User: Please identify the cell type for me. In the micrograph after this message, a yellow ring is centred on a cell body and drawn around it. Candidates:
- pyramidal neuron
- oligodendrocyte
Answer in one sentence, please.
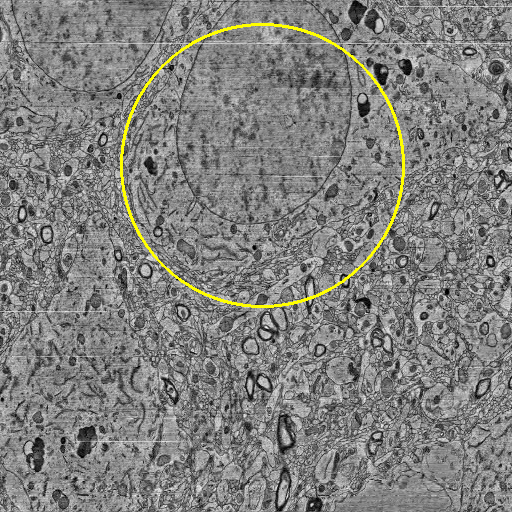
The ring is drawn around the cell body of a pyramidal neuron.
